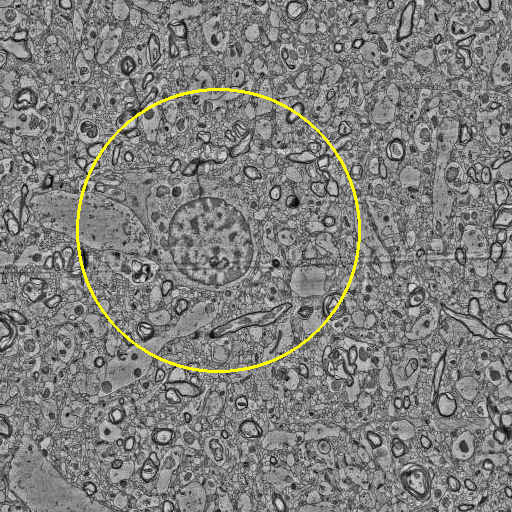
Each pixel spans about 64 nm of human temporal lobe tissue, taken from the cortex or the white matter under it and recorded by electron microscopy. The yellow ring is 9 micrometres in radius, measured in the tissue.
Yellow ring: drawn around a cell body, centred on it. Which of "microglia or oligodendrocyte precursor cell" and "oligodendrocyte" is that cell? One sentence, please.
That cell body is from an oligodendrocyte.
